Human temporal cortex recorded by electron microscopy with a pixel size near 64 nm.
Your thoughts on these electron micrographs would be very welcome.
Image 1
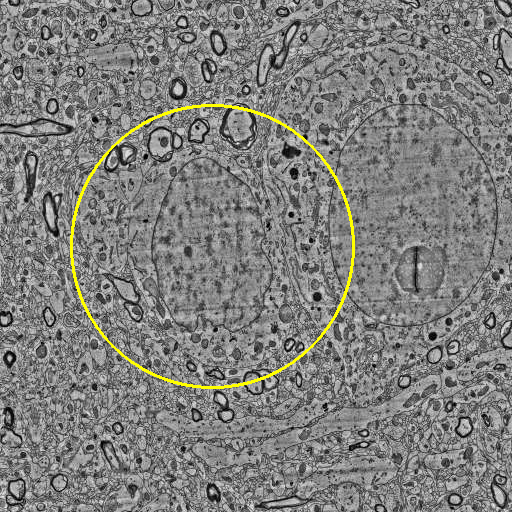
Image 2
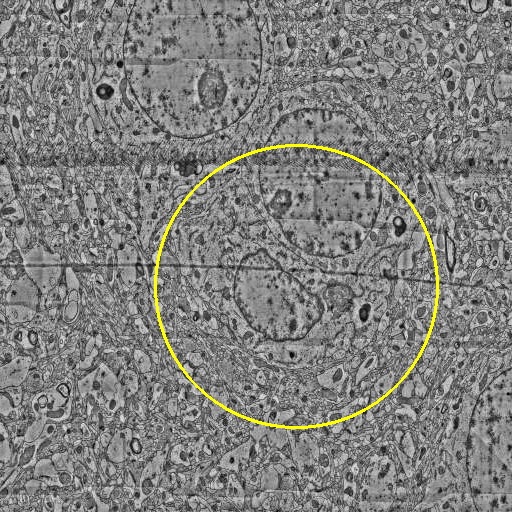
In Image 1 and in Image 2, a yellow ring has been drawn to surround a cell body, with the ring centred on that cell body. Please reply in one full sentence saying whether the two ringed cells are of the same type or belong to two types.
The ringed cells in Image 1 and Image 2 are of the same type.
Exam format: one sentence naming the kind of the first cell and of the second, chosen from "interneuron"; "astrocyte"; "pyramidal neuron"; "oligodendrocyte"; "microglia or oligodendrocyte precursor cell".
In the first picture and in the second, the ring is centred on a pyramidal neuron.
